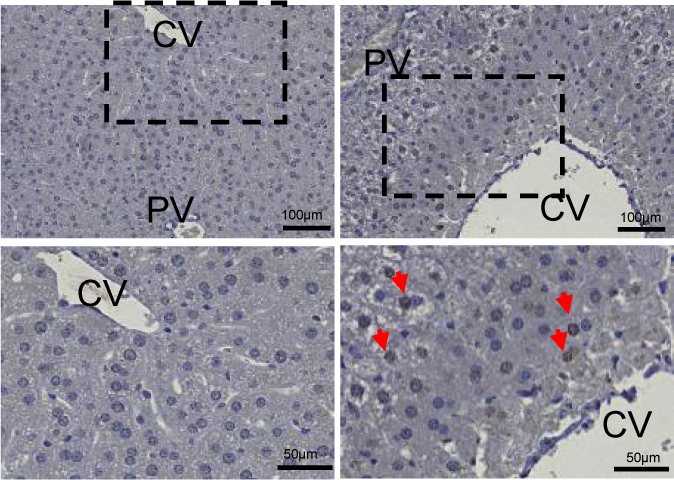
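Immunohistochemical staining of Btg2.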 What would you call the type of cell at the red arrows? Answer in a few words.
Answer: hepatocytes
